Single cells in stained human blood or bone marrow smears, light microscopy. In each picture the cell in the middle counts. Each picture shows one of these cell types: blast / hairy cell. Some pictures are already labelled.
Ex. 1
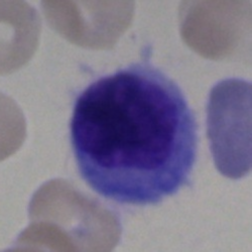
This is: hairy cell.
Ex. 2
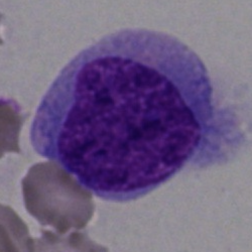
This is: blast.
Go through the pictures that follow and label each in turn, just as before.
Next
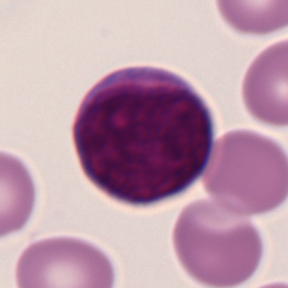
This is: blast.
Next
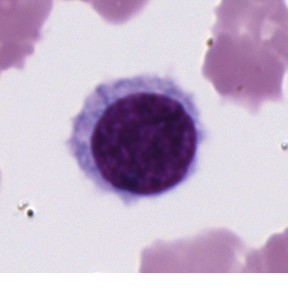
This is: hairy cell.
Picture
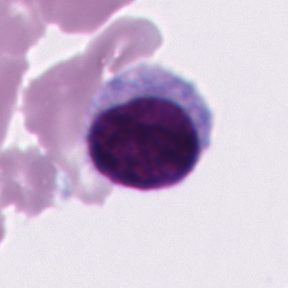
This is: hairy cell.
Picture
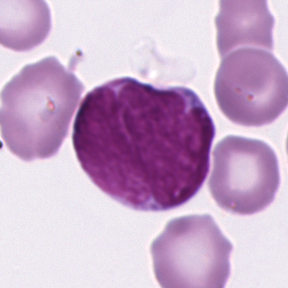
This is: blast.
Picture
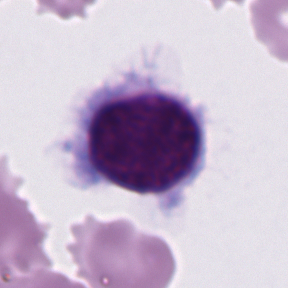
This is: hairy cell.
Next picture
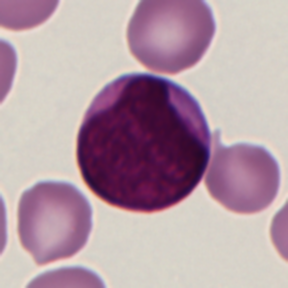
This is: blast.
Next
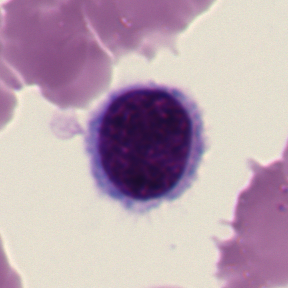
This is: hairy cell.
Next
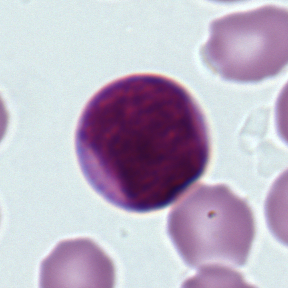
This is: blast.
